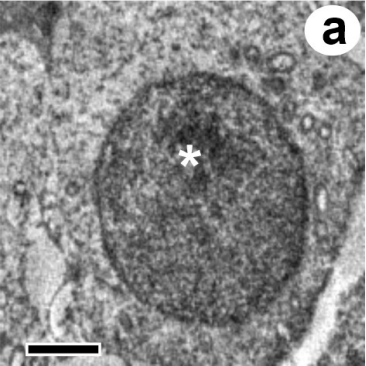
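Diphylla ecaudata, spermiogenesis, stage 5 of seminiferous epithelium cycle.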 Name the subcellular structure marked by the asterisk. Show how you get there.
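Nucleoli. The asterisk lies on a darker, denser patch inside a round nucleus.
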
